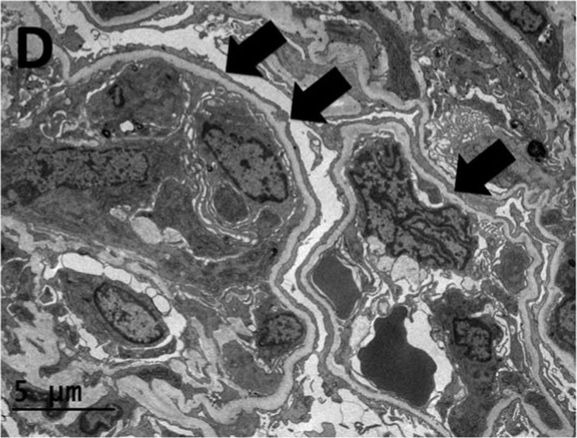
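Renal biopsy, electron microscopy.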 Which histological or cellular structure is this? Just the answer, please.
glomerular peripheral capillary loops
